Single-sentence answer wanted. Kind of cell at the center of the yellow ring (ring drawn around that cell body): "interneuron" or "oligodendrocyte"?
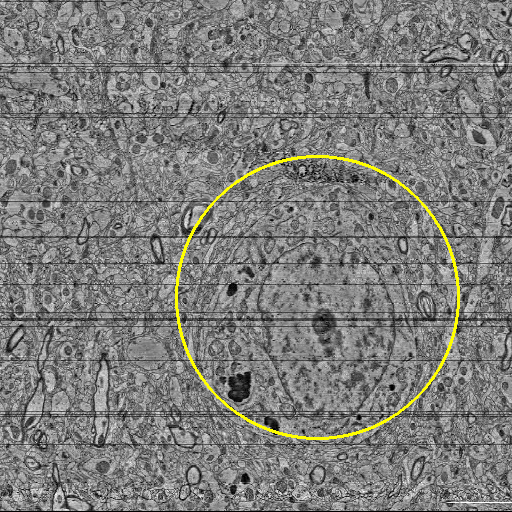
The cell centered in the ring is an interneuron.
